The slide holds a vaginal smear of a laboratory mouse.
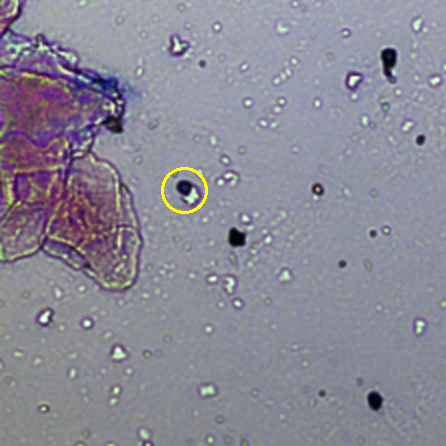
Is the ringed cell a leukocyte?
Yes, it is a leukocyte.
